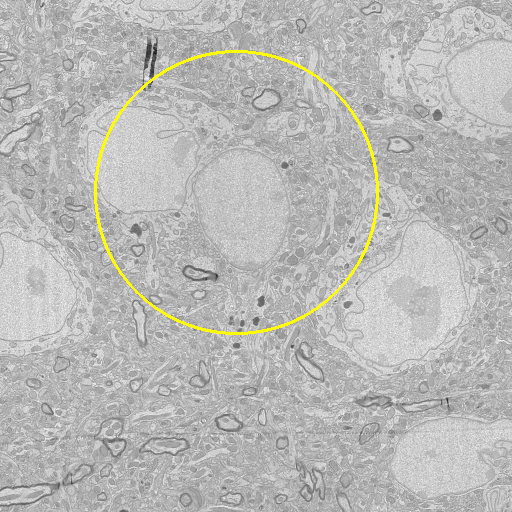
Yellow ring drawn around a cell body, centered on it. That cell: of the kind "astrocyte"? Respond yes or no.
yes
